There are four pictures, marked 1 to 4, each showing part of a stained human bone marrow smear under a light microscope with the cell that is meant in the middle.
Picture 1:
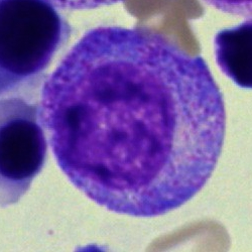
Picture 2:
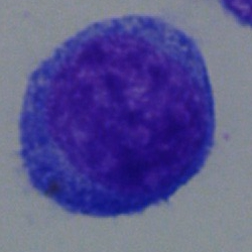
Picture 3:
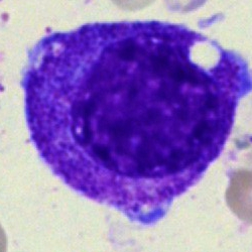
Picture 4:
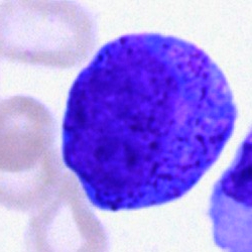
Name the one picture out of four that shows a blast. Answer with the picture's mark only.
2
